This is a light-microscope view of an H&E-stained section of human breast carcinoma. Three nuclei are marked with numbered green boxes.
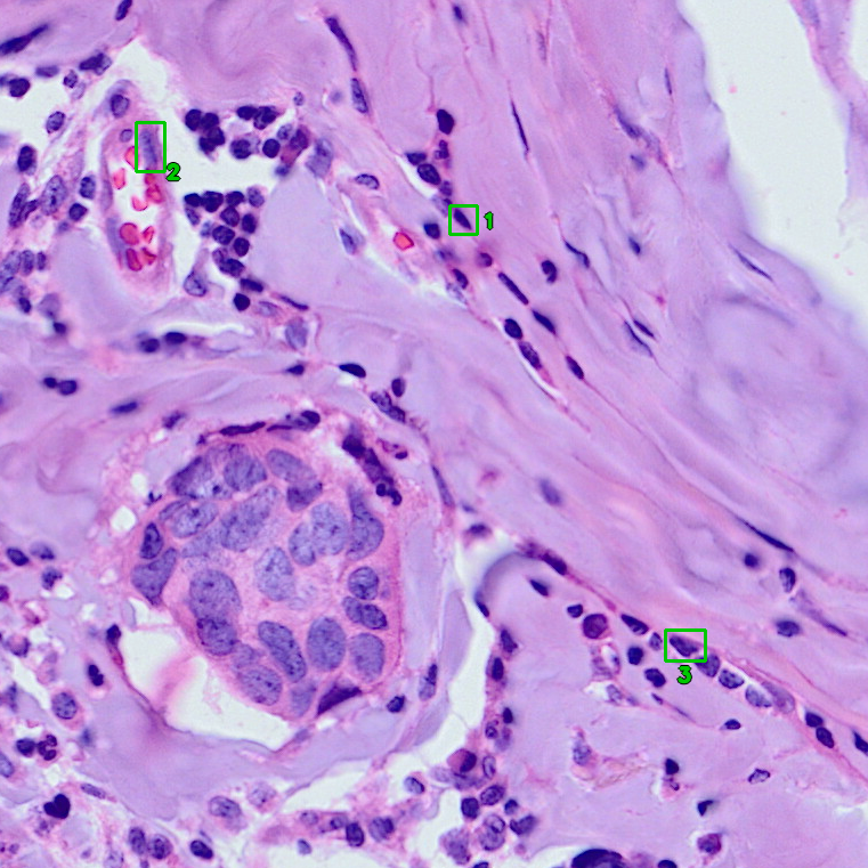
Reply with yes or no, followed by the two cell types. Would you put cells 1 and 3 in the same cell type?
Yes, both are lymphocytes.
